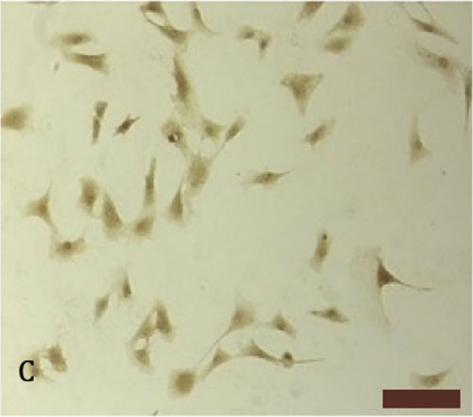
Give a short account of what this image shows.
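These are cultured cells scattered across the dish. They are spindle-shaped to triangular, with slender tapering processes that sometimes touch neighbouring cells. A light brown stain fills the cytoplasm, while the background stays pale.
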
